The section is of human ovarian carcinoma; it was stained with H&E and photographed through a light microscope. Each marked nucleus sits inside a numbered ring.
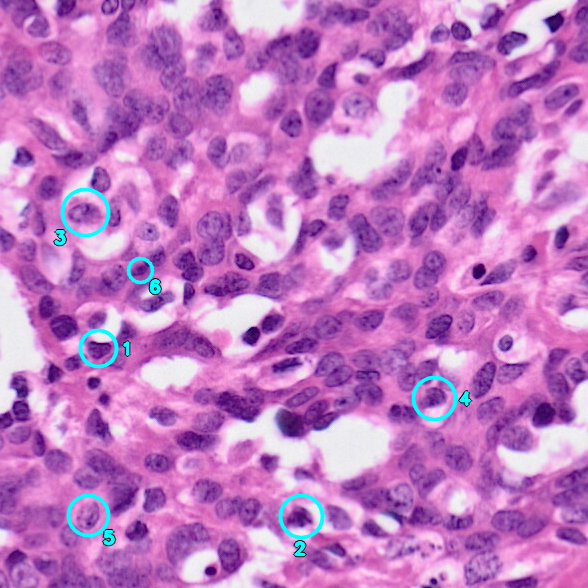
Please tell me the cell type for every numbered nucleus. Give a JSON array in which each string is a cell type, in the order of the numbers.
["carcinoma cell", "carcinoma cell", "macrophage or monocyte", "carcinoma cell", "macrophage or monocyte", "carcinoma cell"]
